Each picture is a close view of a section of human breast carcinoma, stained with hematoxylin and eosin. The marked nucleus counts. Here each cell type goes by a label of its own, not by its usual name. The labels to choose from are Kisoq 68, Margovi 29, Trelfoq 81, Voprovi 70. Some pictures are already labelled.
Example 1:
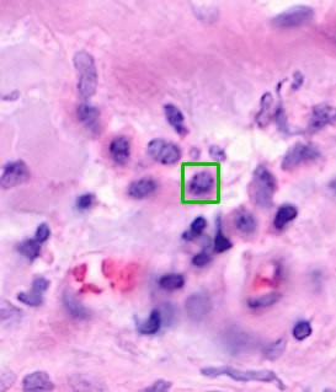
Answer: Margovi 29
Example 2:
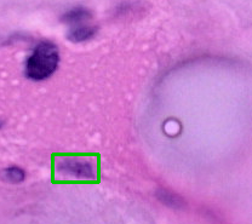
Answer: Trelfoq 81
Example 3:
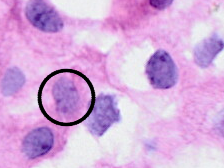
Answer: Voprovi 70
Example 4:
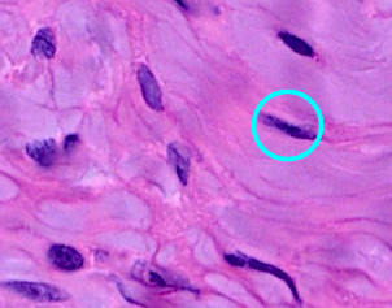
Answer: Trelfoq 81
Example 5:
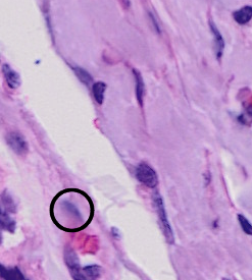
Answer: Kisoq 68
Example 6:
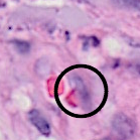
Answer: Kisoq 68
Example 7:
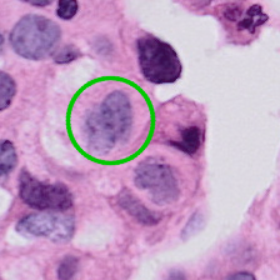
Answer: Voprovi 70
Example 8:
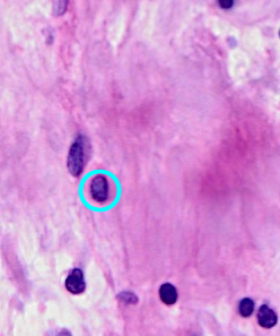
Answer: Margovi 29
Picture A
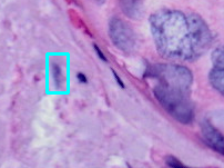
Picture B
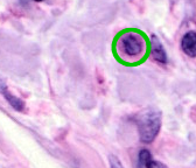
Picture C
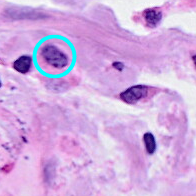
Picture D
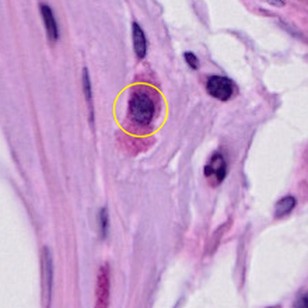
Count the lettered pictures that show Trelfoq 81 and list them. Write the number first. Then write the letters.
Count: 1 (A)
